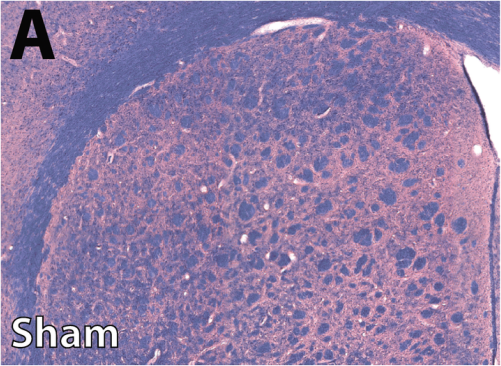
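This is a low-power view of the caudate nucleus. A curved band of blue-staining white matter wraps around its upper and left border, and a white slit of the lateral ventricle lies against its right edge. A few small white holes are vessels cut across. At this magnification single nerve cells are not resolved; the picture shows the tissue's architecture rather than individual cells.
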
